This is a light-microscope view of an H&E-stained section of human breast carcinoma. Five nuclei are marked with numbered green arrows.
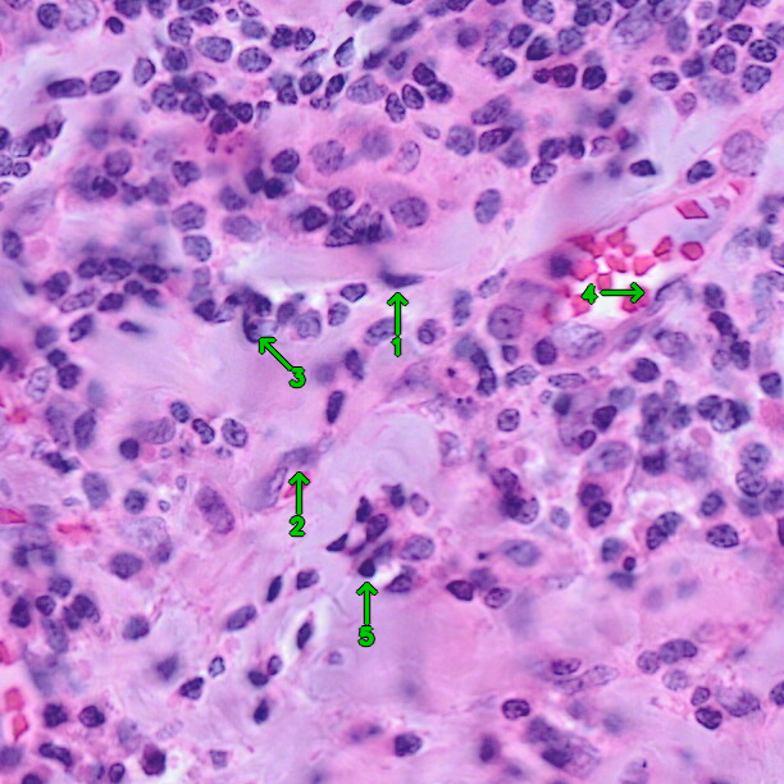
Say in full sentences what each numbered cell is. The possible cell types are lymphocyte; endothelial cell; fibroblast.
Cells 1, 3 and 5 are lymphocytes. Cells 2 and 4 are endothelial cells.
